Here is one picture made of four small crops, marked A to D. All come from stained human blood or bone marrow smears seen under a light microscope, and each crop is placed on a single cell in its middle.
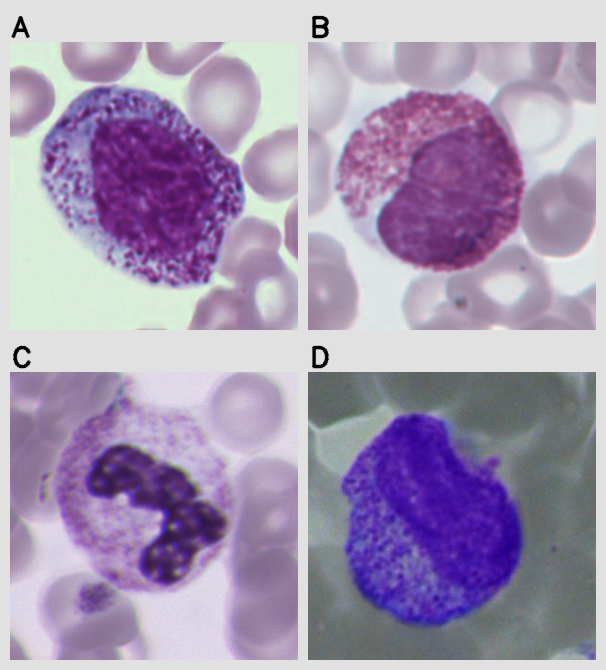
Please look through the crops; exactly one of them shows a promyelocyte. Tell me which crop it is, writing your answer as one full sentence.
Within this set, crop A is the one with a promyelocyte at its center.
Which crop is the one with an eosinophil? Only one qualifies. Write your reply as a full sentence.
Identified crop: B, the one that shows an eosinophil.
